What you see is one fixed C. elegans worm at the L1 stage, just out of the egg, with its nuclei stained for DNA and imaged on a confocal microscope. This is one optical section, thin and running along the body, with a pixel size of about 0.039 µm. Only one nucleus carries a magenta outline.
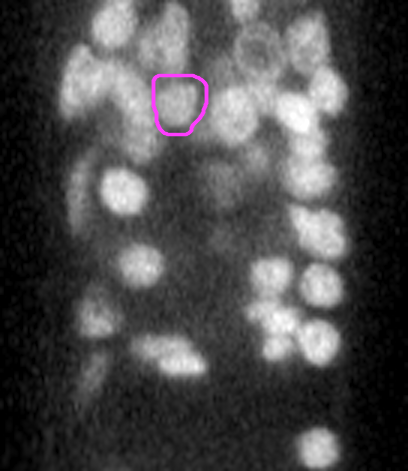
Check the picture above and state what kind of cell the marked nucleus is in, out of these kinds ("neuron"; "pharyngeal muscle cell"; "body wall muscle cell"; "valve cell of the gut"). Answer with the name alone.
pharyngeal muscle cell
